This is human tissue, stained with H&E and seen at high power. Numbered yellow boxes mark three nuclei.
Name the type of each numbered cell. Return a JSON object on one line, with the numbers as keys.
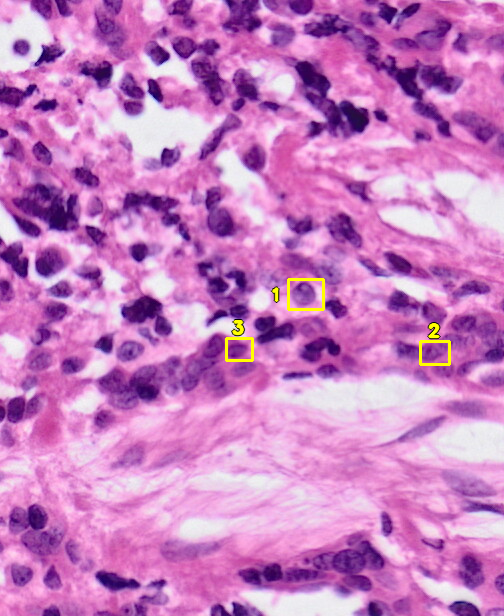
{"1": "macrophage or monocyte", "2": "carcinoma cell", "3": "carcinoma cell"}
